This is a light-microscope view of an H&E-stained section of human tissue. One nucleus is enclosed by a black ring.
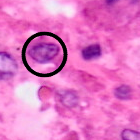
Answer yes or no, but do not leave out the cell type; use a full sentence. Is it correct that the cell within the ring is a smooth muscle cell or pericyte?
No, sorry, but the cell within the ring is a macrophage or monocyte and not a smooth muscle cell or pericyte.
